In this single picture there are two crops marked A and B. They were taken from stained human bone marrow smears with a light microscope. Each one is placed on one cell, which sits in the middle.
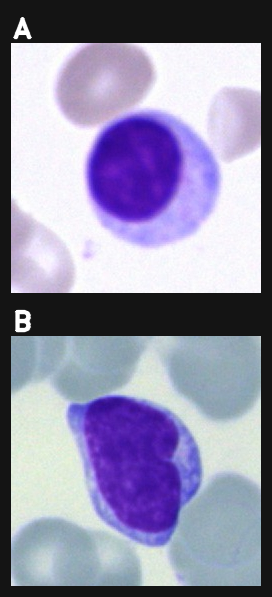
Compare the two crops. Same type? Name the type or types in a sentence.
Yes, the two crops show lymphocytes at their centres.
